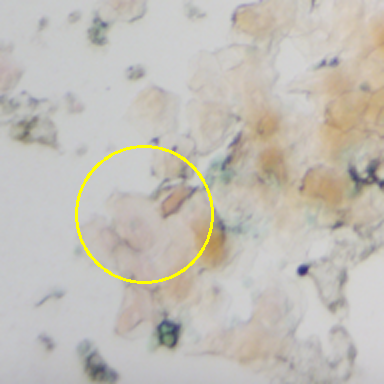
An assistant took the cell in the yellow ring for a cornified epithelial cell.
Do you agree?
I agree, it is a cornified epithelial cell.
